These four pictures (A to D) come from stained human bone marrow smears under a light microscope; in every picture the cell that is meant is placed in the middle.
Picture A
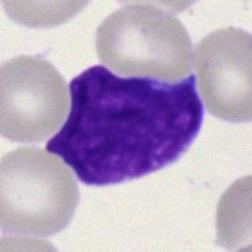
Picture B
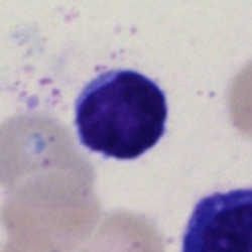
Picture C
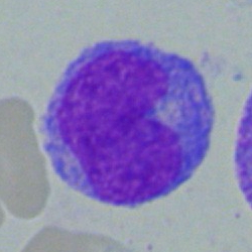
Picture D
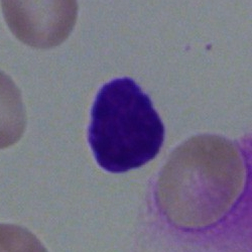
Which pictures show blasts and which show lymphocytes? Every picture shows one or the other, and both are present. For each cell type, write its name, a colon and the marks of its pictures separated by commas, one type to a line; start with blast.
blast: A, C
lymphocyte: B, D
